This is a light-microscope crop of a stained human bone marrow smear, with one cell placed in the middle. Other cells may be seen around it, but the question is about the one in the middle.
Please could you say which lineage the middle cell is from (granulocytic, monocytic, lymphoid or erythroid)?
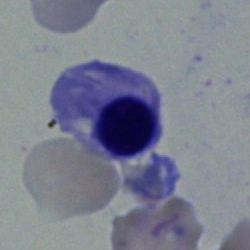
erythroid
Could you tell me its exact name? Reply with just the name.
erythroblast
